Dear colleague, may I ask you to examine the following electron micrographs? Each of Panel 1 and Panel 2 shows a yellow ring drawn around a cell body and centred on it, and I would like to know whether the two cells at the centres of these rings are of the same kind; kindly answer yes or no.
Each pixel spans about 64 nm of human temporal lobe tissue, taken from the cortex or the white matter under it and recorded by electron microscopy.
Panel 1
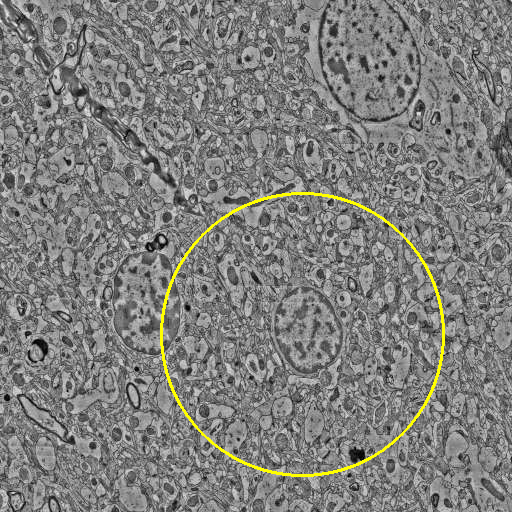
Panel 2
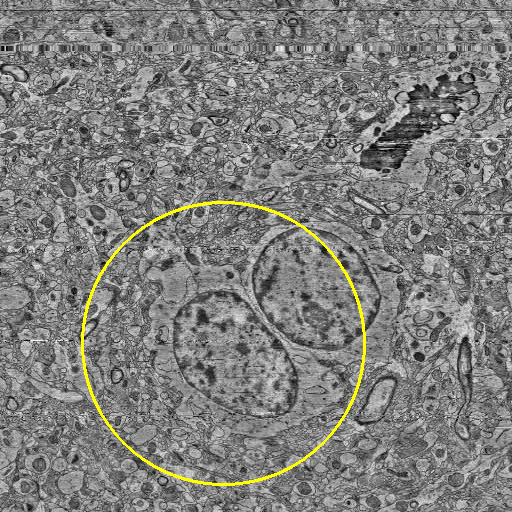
no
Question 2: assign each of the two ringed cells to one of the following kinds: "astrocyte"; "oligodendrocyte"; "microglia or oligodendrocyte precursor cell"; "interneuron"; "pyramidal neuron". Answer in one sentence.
The two cells are an oligodendrocyte in the first picture and an astrocyte in the second.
